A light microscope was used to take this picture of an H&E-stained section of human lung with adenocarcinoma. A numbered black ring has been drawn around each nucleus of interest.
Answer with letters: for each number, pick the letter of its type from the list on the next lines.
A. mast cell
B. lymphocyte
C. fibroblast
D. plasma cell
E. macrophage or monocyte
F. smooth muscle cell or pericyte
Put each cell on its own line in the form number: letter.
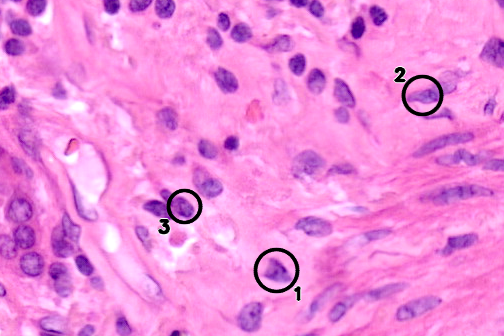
1: C
2: F
3: B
